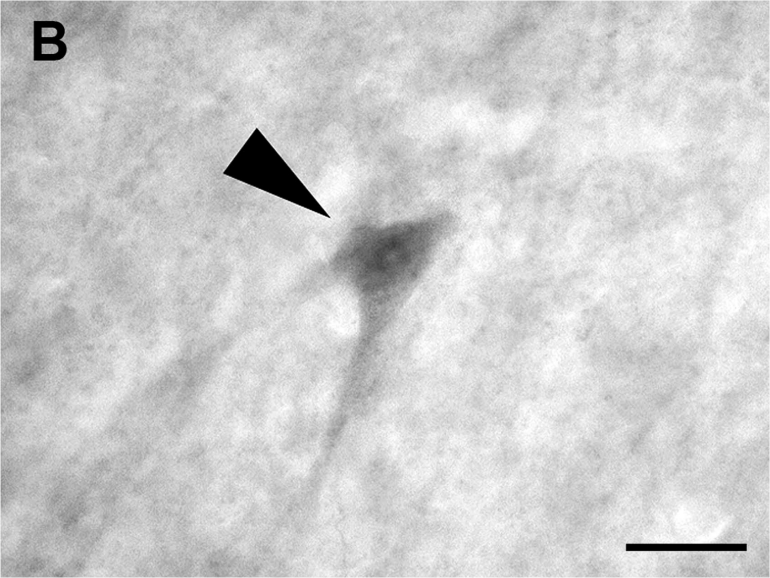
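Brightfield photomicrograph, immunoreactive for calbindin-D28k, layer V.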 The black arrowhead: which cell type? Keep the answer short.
pyramidal neurons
